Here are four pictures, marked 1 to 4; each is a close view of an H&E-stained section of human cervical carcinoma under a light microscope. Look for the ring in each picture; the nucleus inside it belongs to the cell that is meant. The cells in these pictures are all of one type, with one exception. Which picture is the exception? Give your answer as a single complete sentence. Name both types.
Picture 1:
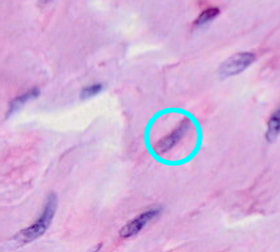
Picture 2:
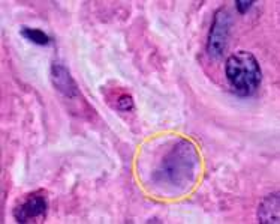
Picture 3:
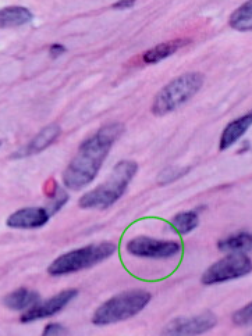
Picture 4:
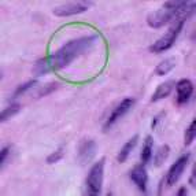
Unlike the rest, which show fibroblasts, picture 1 shows a smooth muscle cell.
